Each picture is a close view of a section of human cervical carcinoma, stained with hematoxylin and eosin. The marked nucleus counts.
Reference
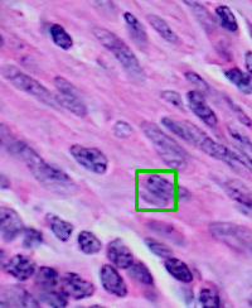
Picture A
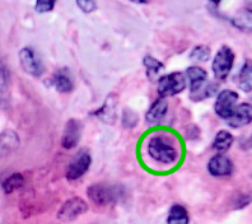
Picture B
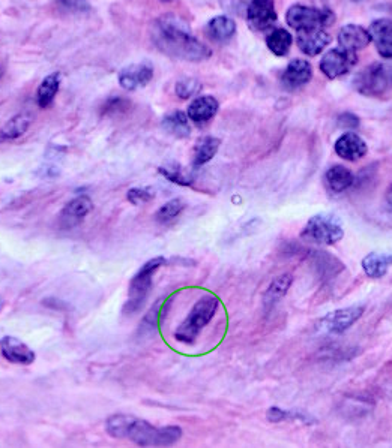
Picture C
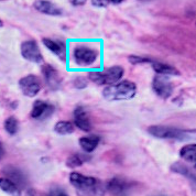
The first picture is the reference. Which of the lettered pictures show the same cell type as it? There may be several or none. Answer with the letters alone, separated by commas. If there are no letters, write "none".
A, B, C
